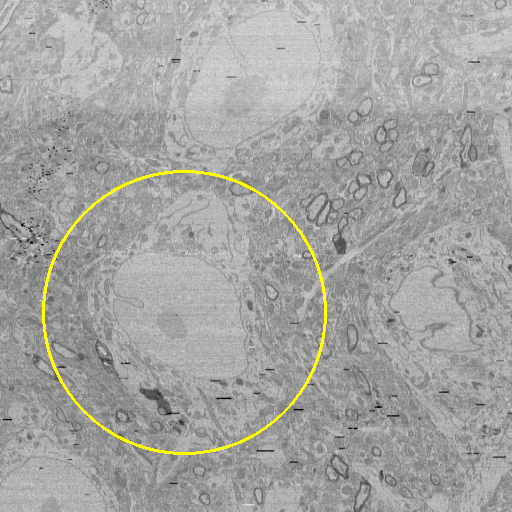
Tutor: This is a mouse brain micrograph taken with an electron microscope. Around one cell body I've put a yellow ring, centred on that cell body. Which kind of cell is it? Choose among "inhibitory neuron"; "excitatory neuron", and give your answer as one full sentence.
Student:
Going by your list, the cell centred in the yellow ring is an excitatory neuron.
